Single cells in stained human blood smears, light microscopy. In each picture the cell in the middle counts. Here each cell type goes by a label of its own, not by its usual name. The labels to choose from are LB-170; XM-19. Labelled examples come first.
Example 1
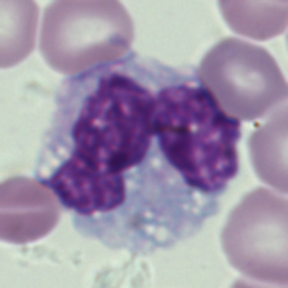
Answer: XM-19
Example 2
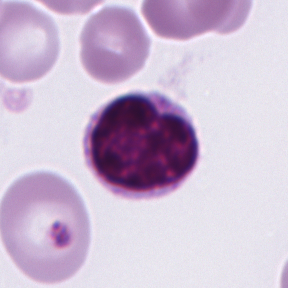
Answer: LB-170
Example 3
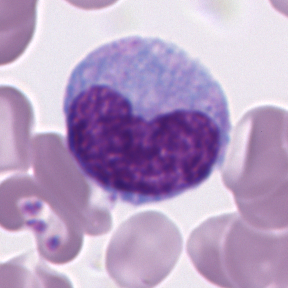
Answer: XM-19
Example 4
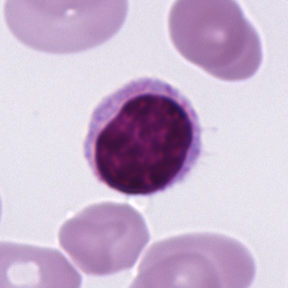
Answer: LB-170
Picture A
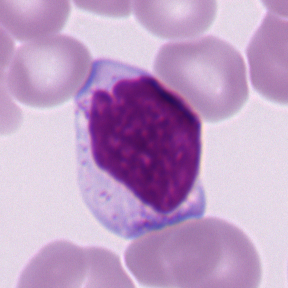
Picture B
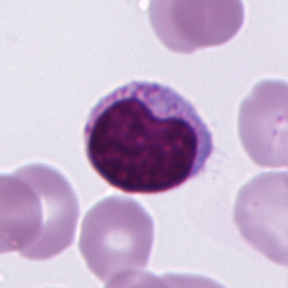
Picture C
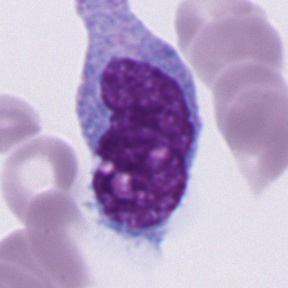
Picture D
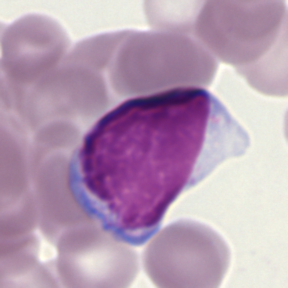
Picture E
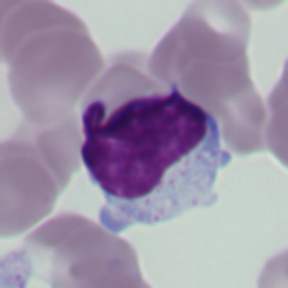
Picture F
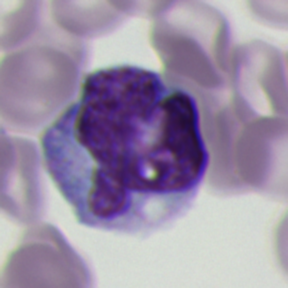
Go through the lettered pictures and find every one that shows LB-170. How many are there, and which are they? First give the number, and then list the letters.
4, namely A, B, D, E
